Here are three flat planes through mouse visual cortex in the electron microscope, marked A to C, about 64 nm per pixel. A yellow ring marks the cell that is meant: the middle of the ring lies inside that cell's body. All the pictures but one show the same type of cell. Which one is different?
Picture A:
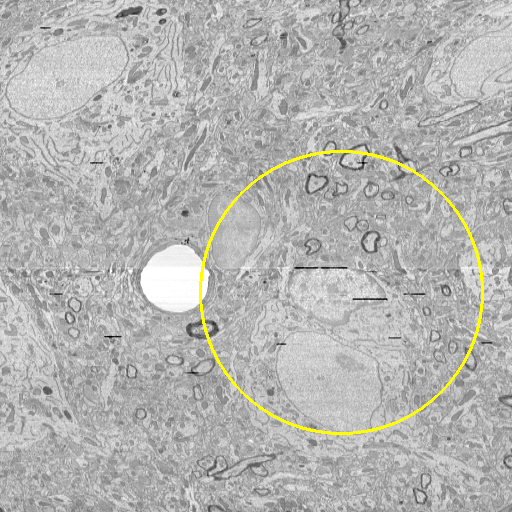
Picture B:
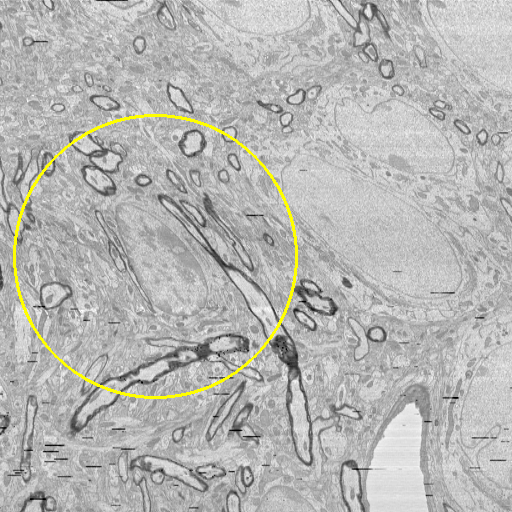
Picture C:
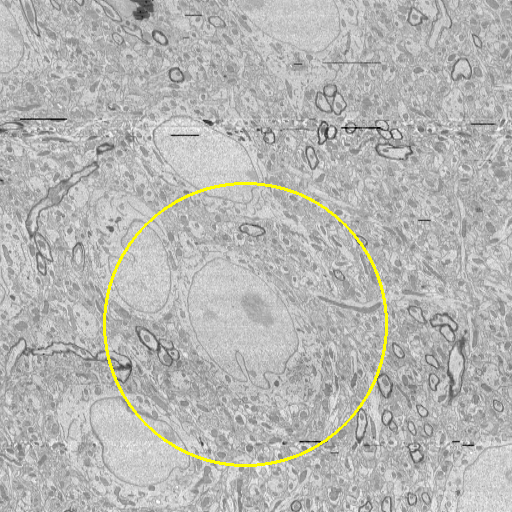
Unlike the rest, which show oligodendrocytes, picture C shows an excitatory neuron.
